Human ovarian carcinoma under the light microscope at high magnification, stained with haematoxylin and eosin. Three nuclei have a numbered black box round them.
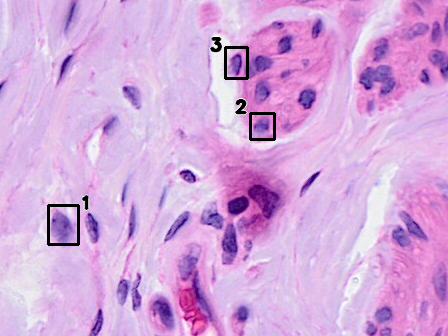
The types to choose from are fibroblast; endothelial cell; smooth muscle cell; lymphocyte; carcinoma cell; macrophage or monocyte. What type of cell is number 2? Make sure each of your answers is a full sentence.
Cell 2 in the field of view is a smooth muscle cell.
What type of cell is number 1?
Cell 1 in the field of view is a fibroblast.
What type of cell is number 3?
It is as a smooth muscle cell that the cell numbered 3 is identified.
